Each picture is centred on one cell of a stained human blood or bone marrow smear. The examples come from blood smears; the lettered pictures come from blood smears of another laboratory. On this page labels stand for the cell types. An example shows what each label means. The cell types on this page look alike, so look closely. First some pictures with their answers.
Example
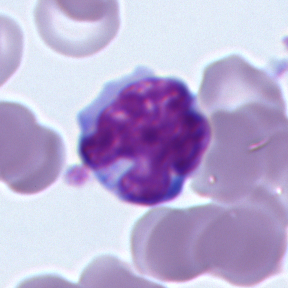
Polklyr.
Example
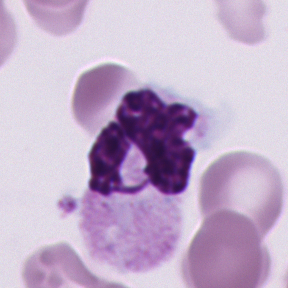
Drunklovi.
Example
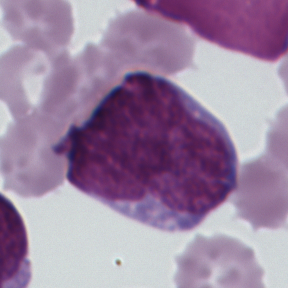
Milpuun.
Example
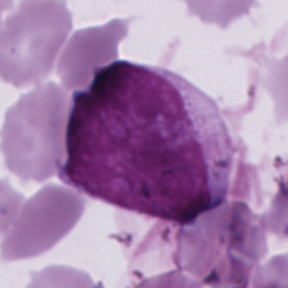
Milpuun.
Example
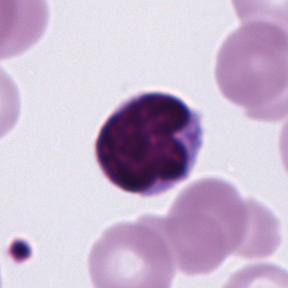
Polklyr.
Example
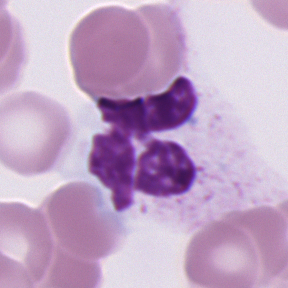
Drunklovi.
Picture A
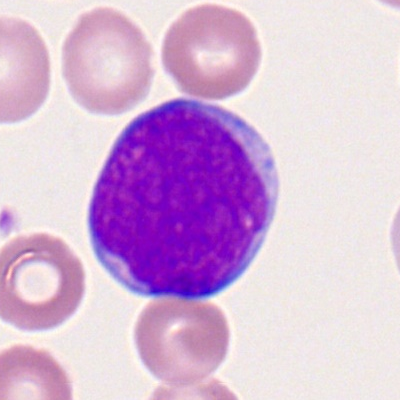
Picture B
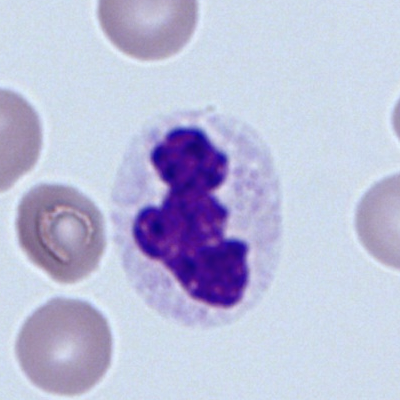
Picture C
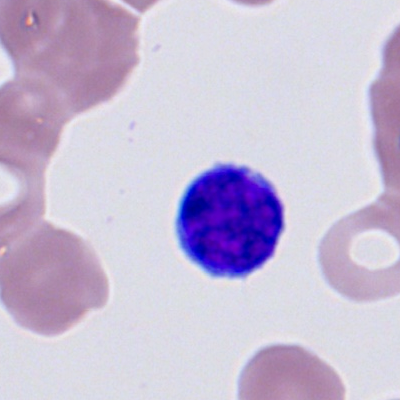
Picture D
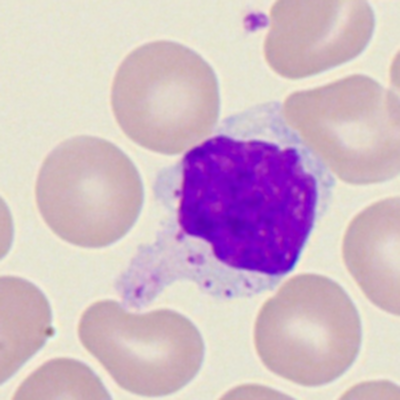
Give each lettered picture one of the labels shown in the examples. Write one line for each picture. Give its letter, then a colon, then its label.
A: Milpuun.
B: Drunklovi.
C: Polklyr.
D: Polklyr.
